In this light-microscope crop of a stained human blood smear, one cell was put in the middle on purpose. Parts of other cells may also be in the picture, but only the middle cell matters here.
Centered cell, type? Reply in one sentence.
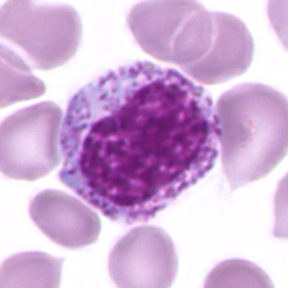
The cell under consideration, at the middle of the crop, is a metamyelocyte.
